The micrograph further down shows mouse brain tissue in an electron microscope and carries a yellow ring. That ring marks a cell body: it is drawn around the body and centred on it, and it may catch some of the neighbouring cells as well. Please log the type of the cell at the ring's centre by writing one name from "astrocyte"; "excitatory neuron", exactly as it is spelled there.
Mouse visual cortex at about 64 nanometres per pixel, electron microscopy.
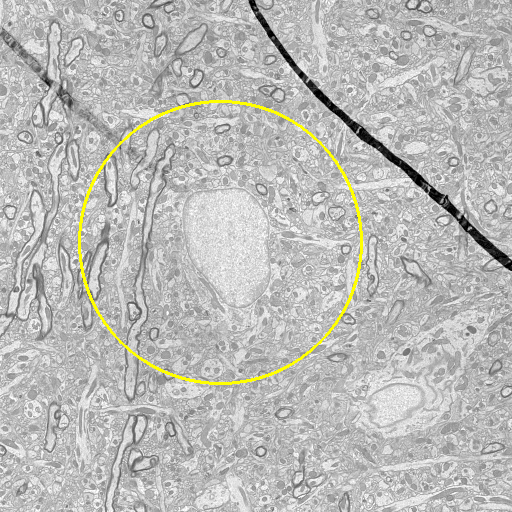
astrocyte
